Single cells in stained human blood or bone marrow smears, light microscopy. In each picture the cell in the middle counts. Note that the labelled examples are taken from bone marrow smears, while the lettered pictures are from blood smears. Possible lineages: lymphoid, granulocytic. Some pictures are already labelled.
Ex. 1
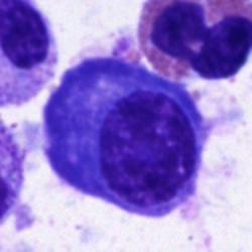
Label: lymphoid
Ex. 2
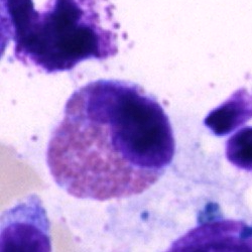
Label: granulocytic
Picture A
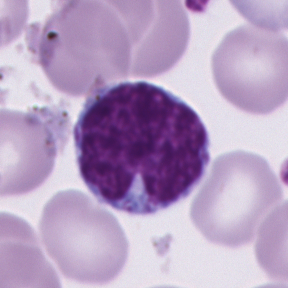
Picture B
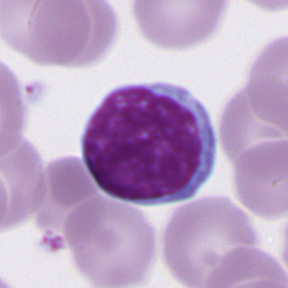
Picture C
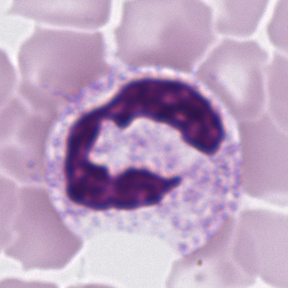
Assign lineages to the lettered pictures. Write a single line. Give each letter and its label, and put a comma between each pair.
A lymphoid, B lymphoid, C granulocytic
